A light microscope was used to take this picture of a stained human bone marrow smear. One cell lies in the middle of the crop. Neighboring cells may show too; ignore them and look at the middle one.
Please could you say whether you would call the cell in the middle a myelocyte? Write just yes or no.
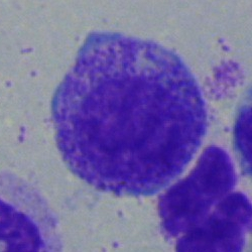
yes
